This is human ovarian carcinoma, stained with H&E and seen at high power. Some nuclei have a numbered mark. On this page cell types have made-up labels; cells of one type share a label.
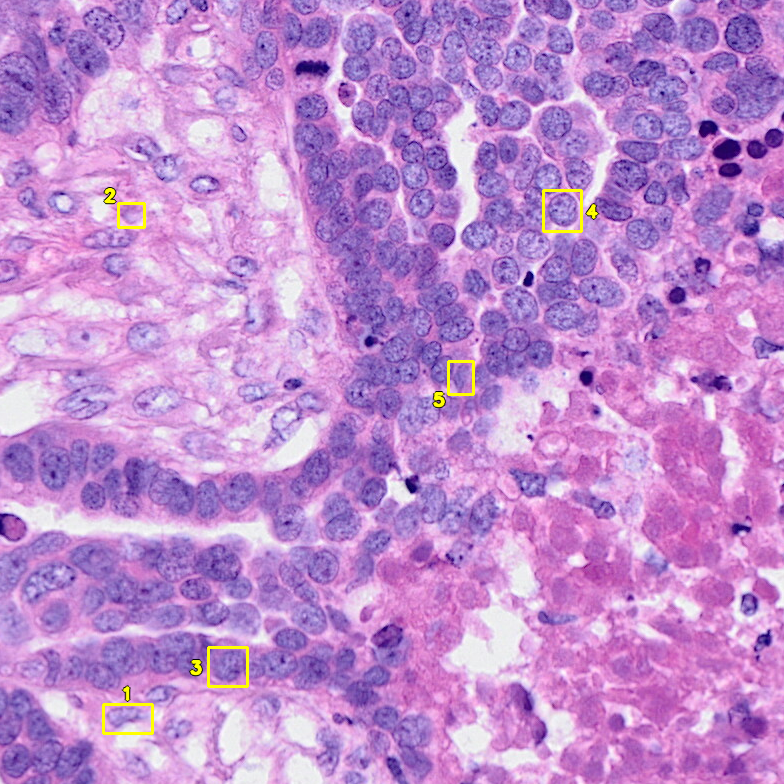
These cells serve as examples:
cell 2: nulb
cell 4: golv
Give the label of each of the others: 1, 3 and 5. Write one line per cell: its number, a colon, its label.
1: nulb
3: golv
5: golv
